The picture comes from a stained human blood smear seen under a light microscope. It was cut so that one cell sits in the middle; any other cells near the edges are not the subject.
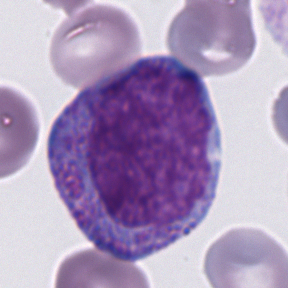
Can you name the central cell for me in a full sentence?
What sits at the centre of this crop is a promyelocyte.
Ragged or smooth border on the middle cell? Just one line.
No projections interrupt the outline; it is smooth all the way round.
